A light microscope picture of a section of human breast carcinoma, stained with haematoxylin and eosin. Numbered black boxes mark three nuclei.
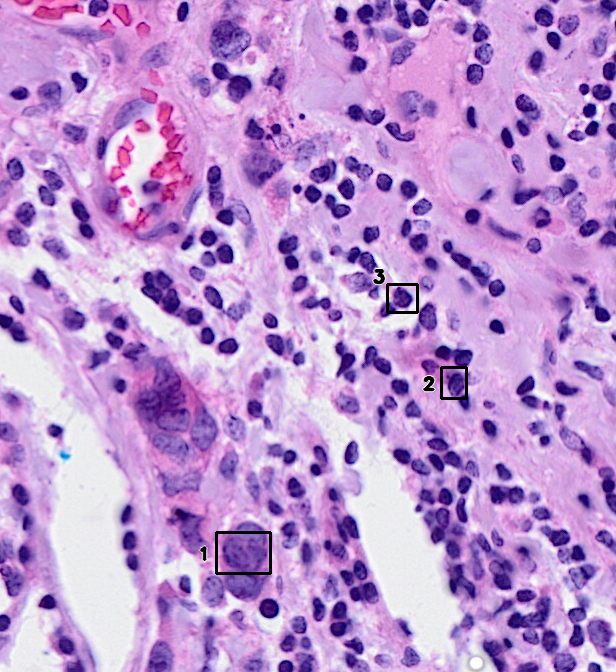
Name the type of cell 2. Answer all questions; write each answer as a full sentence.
The label 2 in this section denotes a lymphocyte.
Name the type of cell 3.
The cell pointed out as number 3 is a lymphocyte.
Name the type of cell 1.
Heads up, the cell numbered 1 is a carcinoma cell.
